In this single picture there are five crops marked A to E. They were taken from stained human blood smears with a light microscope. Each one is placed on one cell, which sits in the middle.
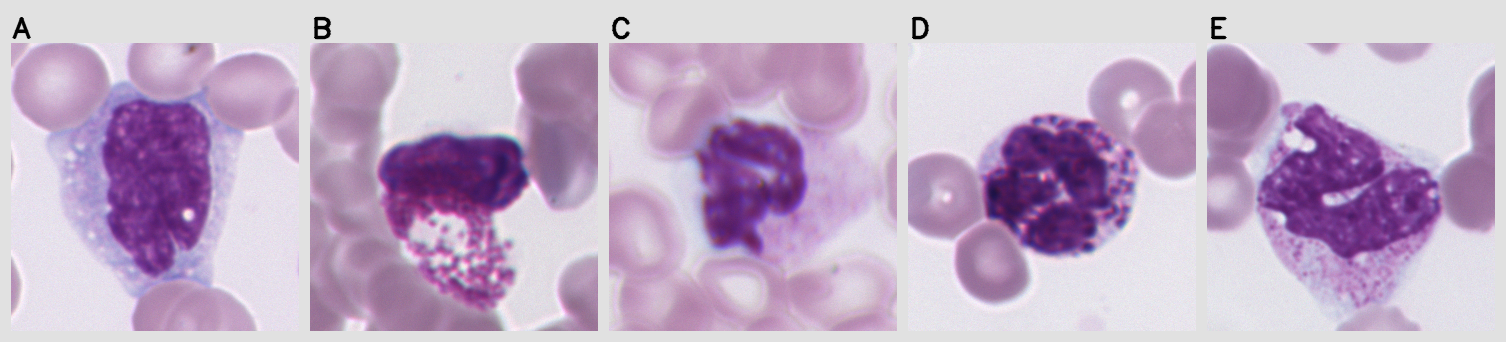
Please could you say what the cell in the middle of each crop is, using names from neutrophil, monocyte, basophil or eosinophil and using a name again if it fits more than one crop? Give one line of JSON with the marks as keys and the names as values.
{"A": "monocyte", "B": "eosinophil", "C": "neutrophil", "D": "basophil", "E": "neutrophil"}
